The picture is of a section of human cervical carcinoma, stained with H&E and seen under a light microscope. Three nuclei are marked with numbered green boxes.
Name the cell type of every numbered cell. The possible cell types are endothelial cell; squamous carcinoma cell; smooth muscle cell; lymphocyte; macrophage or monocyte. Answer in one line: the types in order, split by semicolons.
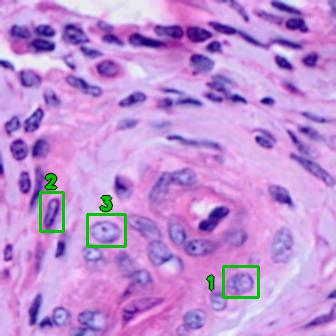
smooth muscle cell; endothelial cell; smooth muscle cell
